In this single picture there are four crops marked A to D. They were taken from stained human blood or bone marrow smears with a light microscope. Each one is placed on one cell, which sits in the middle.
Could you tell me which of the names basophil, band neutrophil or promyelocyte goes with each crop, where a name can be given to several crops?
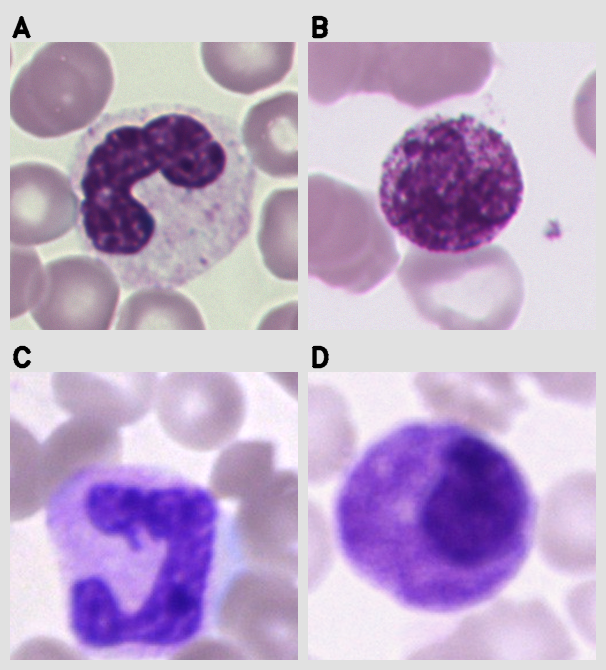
A: band neutrophil
B: basophil
C: band neutrophil
D: promyelocyte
